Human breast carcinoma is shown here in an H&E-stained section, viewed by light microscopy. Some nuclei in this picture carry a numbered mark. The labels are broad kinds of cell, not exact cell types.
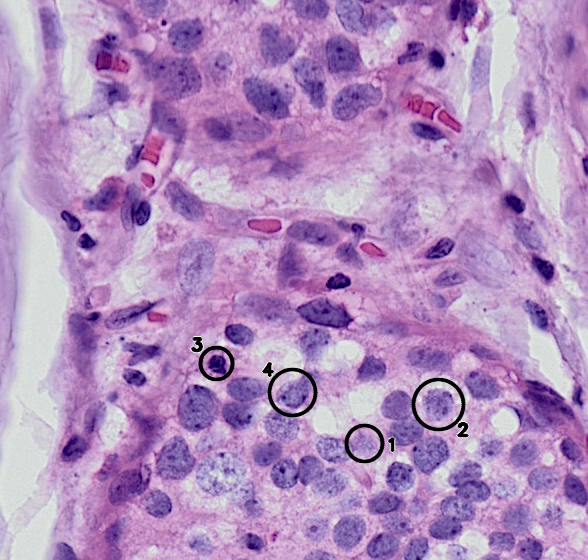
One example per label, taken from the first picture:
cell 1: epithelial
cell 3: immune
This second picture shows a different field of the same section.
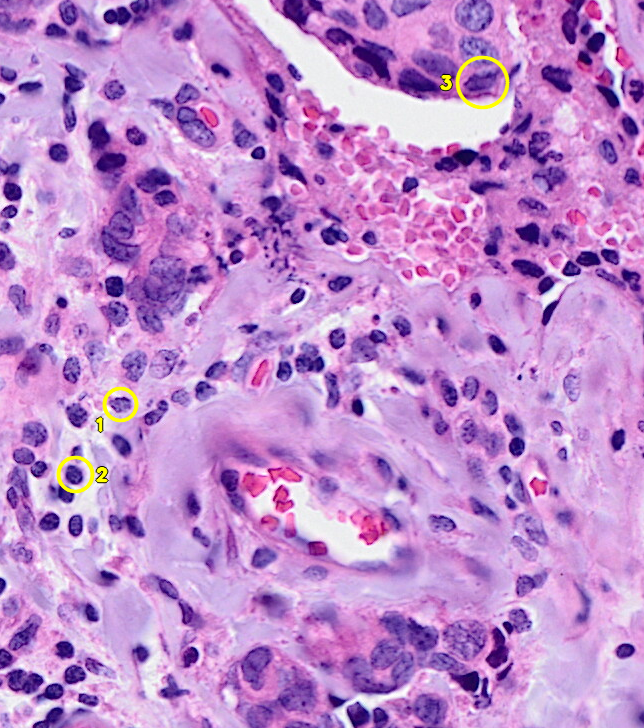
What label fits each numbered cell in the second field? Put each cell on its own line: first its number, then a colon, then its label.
1: immune
2: immune
3: epithelial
